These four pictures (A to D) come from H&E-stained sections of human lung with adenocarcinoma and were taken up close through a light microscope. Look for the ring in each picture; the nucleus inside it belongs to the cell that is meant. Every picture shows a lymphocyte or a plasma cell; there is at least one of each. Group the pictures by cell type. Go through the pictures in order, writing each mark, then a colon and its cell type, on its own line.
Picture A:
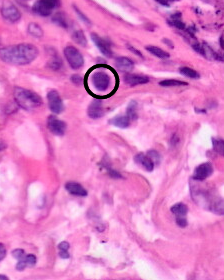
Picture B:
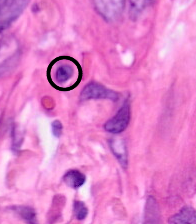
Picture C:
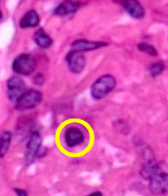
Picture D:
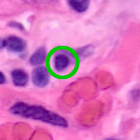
A: lymphocyte
B: lymphocyte
C: plasma cell
D: lymphocyte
